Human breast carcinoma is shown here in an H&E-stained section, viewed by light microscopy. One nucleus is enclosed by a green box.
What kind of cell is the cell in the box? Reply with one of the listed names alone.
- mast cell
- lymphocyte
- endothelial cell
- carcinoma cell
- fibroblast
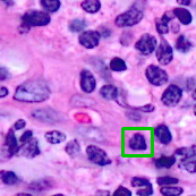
lymphocyte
